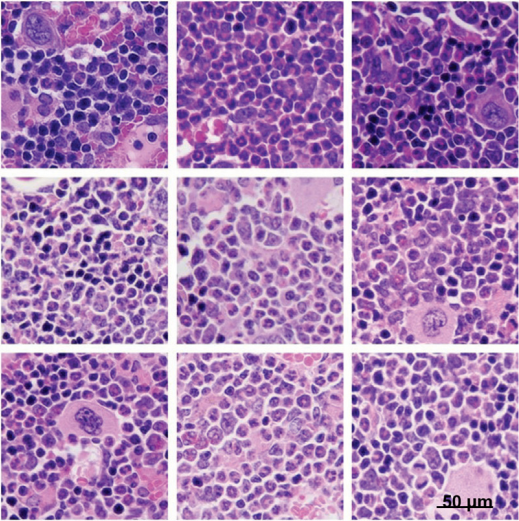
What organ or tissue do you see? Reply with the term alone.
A: bone marrow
